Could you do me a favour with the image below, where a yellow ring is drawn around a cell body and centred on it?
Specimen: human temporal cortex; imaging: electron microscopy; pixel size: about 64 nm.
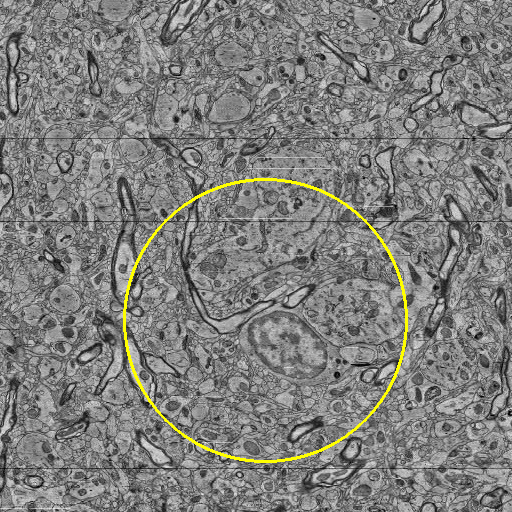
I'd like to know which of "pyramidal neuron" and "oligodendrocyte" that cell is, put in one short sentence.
The cell at the ring's centre is an oligodendrocyte.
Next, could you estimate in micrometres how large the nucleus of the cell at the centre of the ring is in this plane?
The ringed cell's nucleus measures approximately 5 by 4 micrometres in this plane.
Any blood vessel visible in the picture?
No.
